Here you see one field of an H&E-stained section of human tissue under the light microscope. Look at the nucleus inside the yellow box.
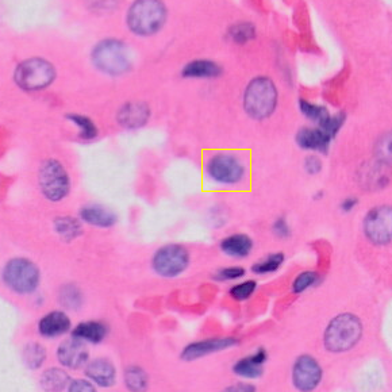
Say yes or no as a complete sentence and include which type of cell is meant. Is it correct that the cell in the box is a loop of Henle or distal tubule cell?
Yes, a loop of Henle or distal tubule cell is the correct identification for the cell in the box.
